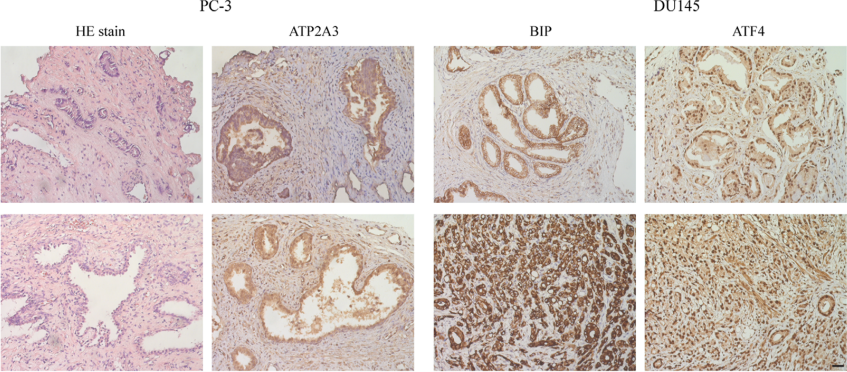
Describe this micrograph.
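In most images, glands lined by epithelial cells sit within a fibromuscular stroma made of spindle-shaped cells. The brown colour falls mainly in the epithelial lining of these glands and less in the surrounding stroma. In the lower row the third column is crowded with densely packed, strongly brown-stained epithelial cells, with little open gland lumen to be seen.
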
